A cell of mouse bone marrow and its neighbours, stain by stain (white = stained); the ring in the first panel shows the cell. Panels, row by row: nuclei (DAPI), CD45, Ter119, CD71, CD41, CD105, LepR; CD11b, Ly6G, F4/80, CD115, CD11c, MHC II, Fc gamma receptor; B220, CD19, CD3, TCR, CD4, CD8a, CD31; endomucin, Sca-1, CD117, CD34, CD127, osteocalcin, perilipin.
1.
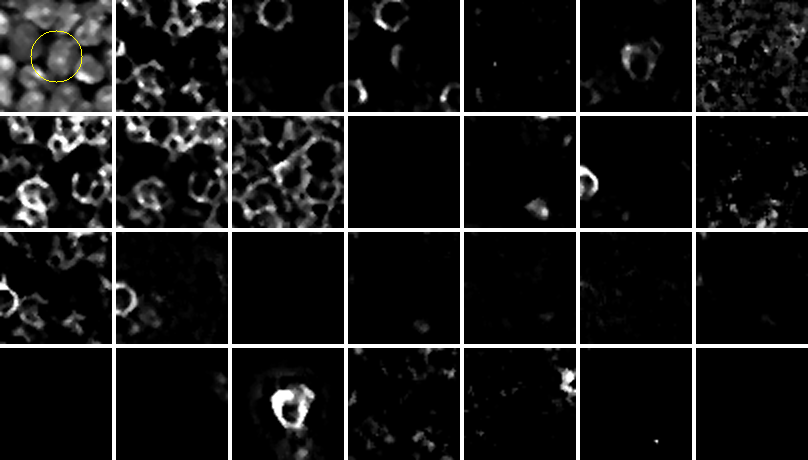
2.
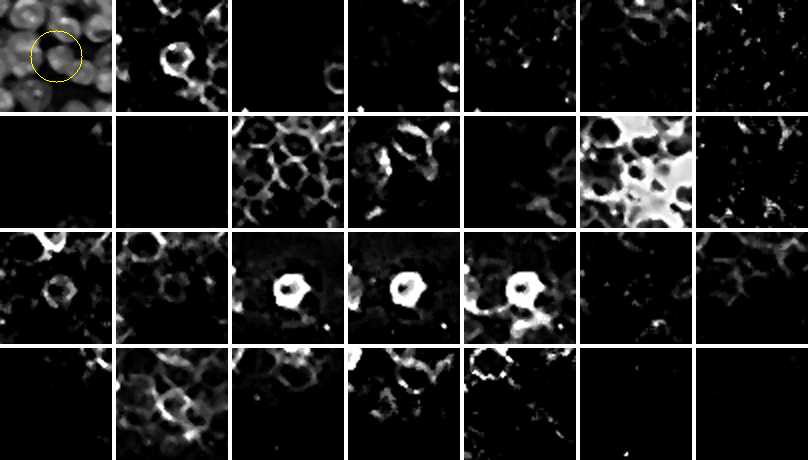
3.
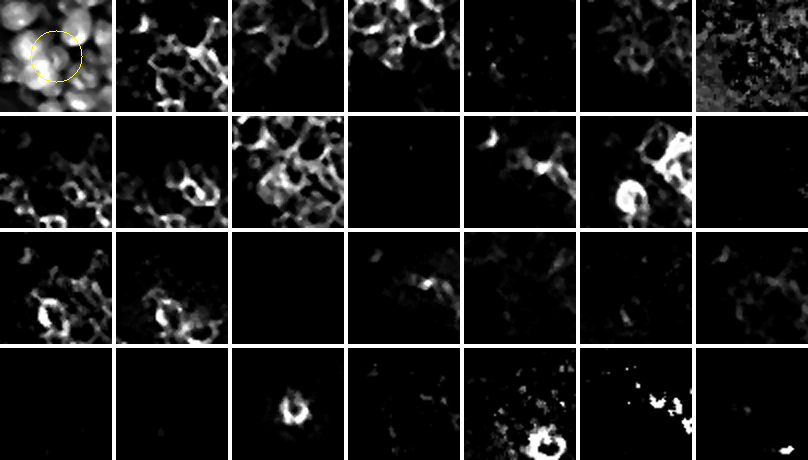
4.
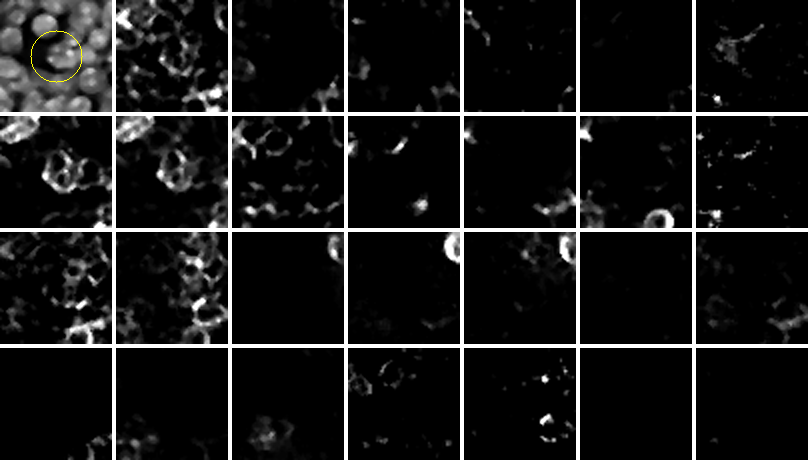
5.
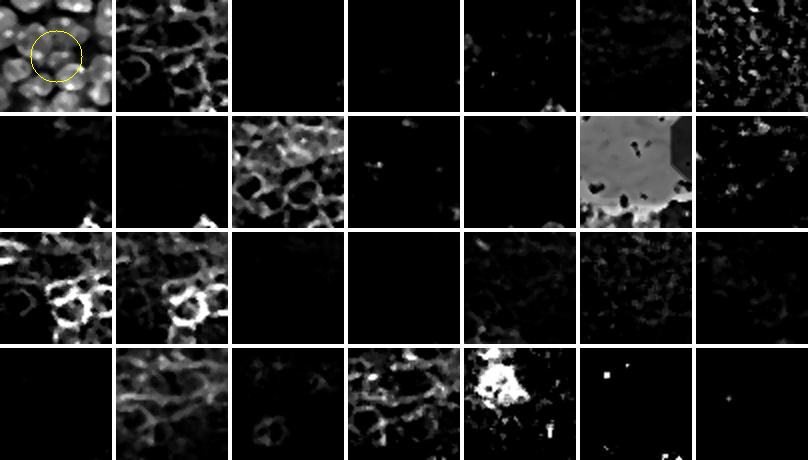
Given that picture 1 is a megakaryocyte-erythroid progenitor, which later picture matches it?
3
